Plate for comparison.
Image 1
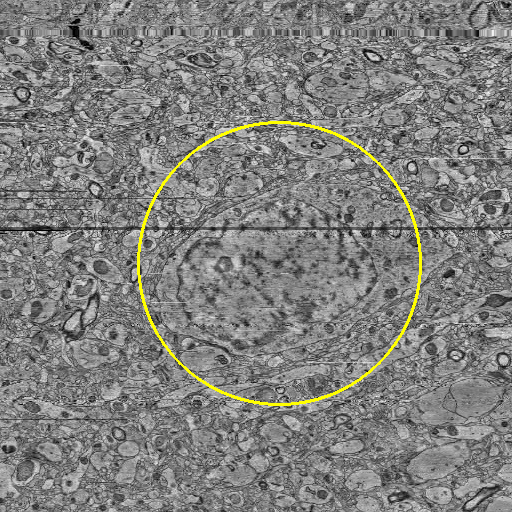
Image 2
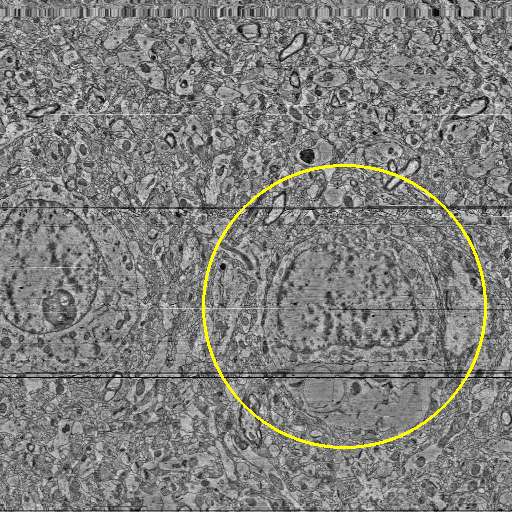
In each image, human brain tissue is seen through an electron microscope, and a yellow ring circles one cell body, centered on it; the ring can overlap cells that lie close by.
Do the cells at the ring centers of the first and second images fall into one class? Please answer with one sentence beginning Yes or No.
Yes, the first and second images show a single class of cell at the ring centers.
